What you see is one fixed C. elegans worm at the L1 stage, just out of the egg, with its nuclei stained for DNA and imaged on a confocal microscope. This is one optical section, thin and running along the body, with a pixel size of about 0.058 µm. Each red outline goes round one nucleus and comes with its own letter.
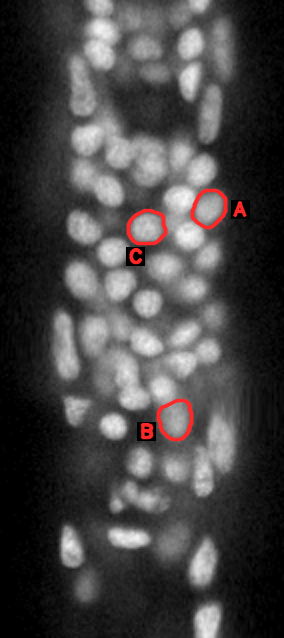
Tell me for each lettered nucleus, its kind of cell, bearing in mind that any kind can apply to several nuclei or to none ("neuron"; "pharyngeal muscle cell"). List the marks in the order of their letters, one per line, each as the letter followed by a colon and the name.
A: neuron
B: pharyngeal muscle cell
C: neuron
